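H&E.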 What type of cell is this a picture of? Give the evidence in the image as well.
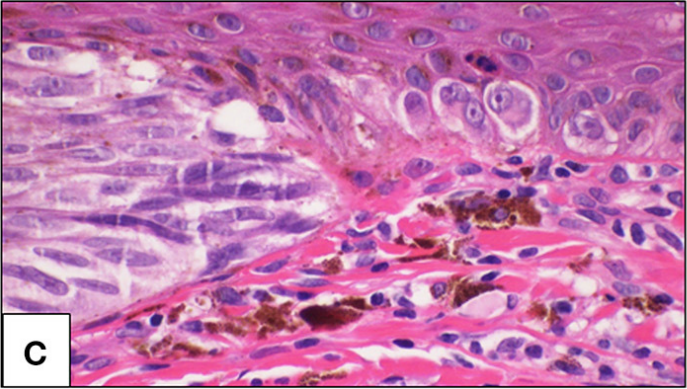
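On the left, cells have long, elongated nuclei lying parallel in a fascicle. Their cytoplasm is pale purple and drawn out. The answer: spindle-shaped.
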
